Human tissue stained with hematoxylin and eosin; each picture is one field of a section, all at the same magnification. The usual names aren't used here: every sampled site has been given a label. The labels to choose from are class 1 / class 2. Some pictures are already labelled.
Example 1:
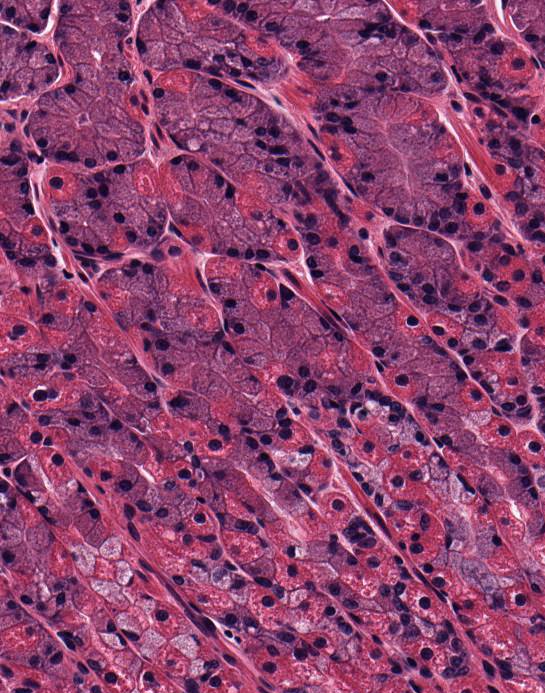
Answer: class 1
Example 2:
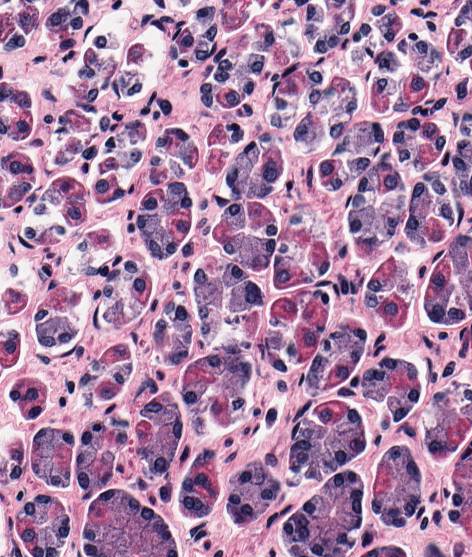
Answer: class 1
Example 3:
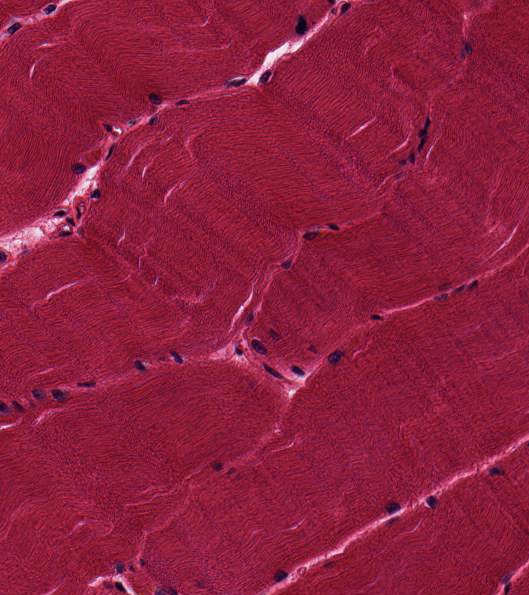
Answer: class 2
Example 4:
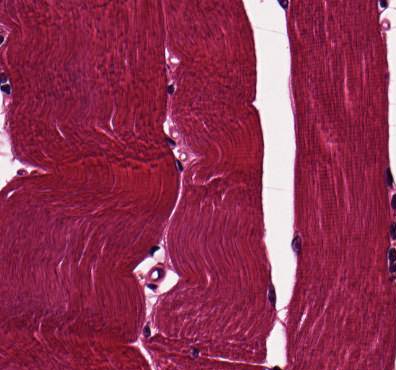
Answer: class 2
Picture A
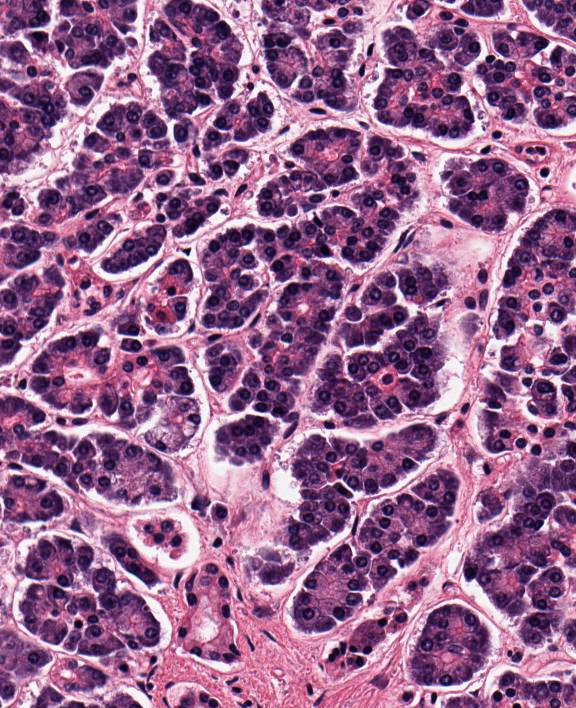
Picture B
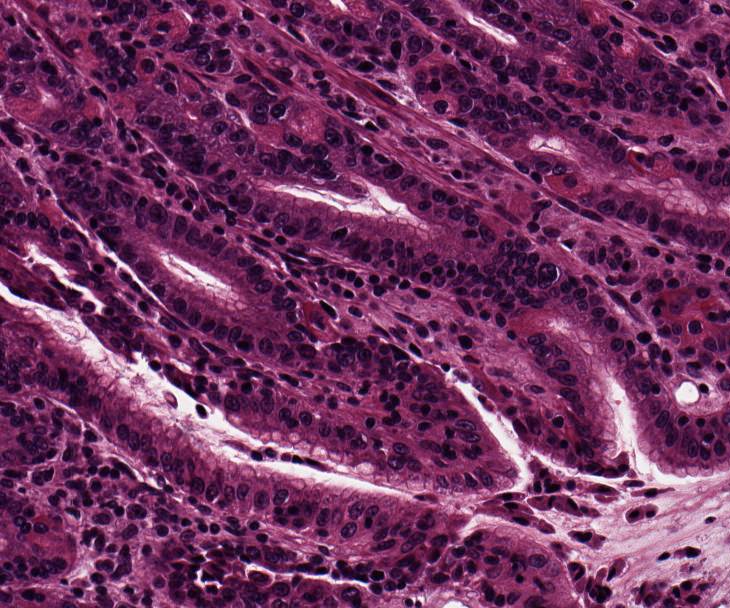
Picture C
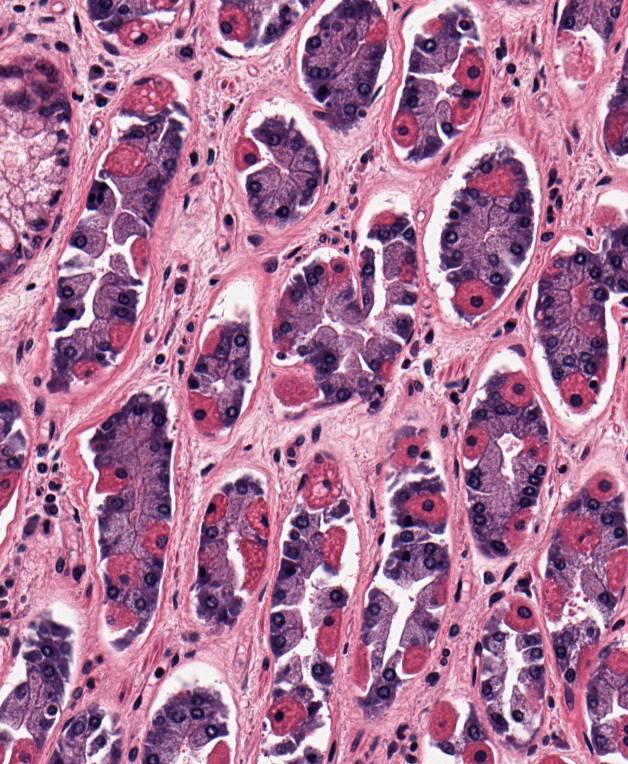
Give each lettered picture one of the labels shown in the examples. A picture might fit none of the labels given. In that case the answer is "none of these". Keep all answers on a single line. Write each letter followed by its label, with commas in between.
A none of these, B class 1, C class 1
